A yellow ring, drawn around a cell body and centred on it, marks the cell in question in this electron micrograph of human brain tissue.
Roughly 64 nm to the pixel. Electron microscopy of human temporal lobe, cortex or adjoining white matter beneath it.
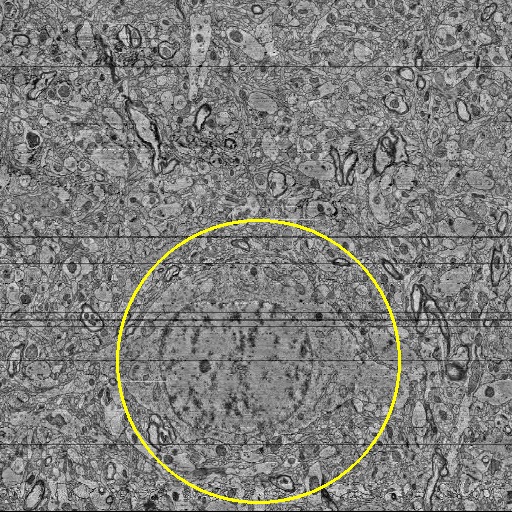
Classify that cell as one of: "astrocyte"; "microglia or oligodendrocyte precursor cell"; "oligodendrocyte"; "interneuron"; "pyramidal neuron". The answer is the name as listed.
interneuron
